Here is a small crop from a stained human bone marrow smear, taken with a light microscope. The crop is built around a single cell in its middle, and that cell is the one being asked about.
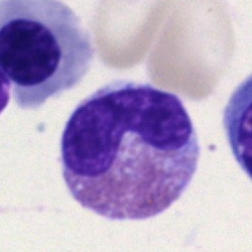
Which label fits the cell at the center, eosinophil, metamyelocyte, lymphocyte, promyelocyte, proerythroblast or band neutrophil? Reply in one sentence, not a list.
As for the cell in the middle, it is an eosinophil.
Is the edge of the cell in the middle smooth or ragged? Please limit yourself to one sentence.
Expected answer: a smooth cell outline without projections of any sort.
